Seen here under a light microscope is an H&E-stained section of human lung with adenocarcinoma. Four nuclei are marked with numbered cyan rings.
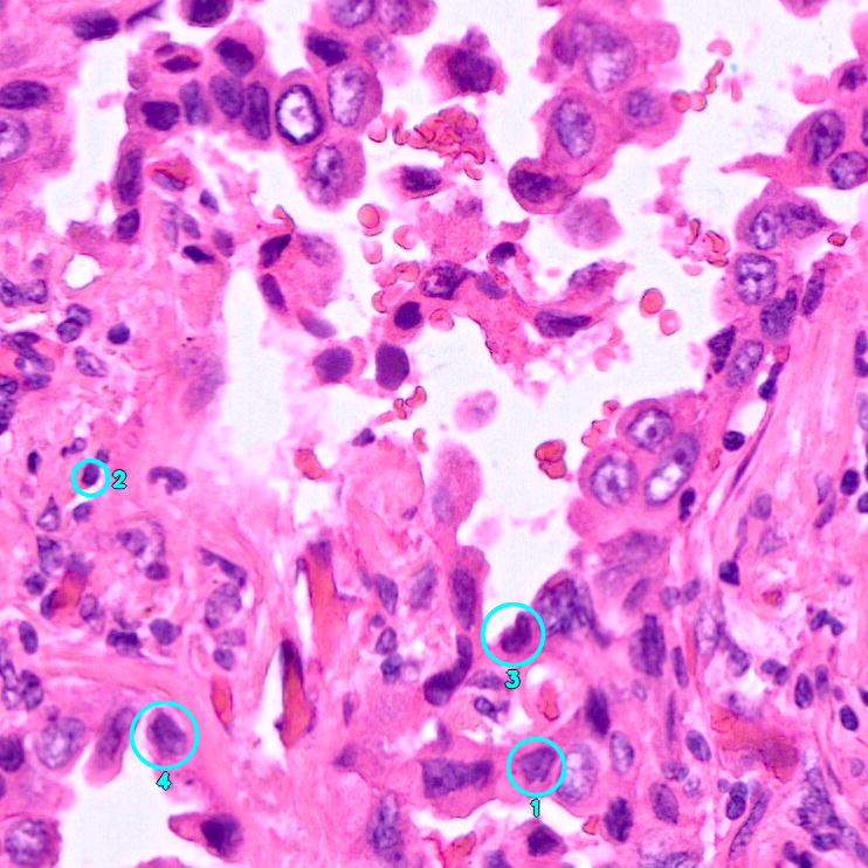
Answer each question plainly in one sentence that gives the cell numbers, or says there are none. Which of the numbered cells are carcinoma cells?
Cells 1, 3 and 4 are carcinoma cells by cell type.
